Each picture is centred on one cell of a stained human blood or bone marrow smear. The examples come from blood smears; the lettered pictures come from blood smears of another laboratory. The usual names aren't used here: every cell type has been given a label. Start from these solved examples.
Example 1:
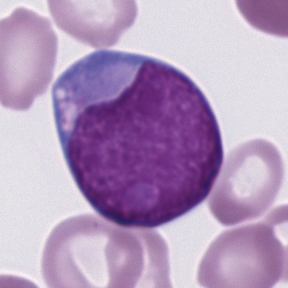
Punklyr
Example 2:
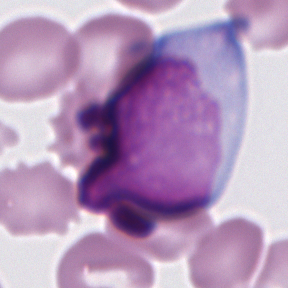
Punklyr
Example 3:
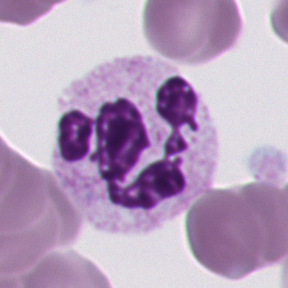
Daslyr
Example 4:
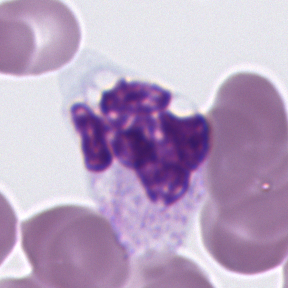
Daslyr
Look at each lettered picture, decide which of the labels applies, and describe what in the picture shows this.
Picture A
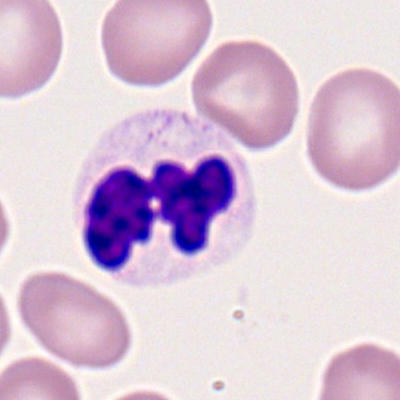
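Daslyr. Reason: The nucleus is split into two main lobes lying side by side, left and right.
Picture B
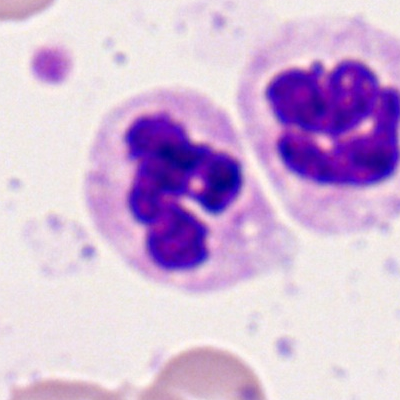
Daslyr. Reason: The cytoplasm is plentiful and pale pinkish-lilac.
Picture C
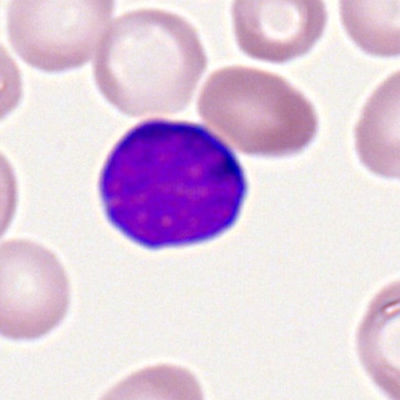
Punklyr. Reason: Cytoplasm shows at most as a very thin rim around the nucleus.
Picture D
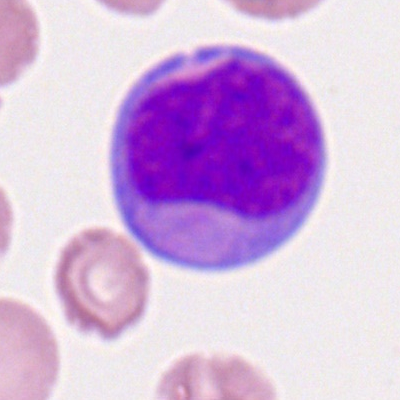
Punklyr. Reason: The nucleus fills most of the cell and lies toward its upper part.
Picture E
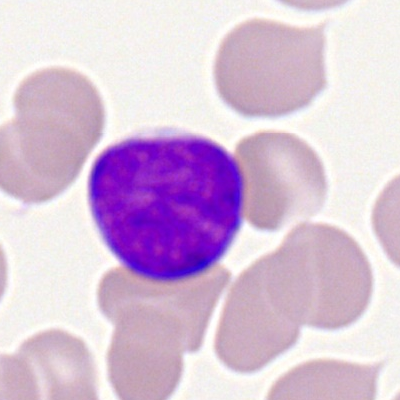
Punklyr. Reason: The nucleus is a single unlobed mass.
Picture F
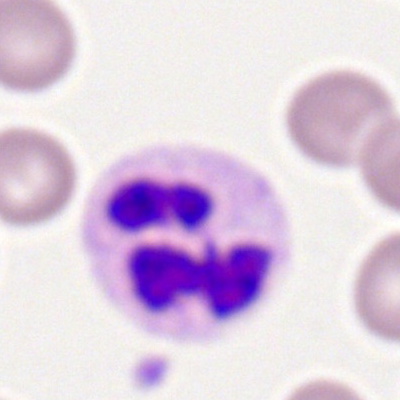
Daslyr. Reason: The cytoplasm is abundant and pale pinkish-lilac.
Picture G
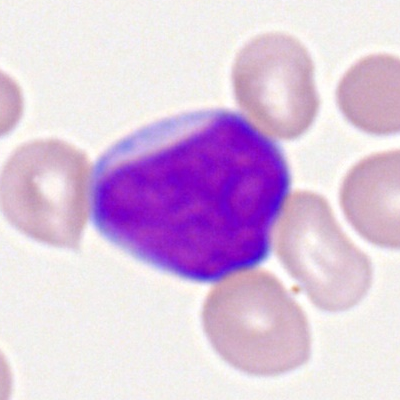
Punklyr. Reason: The cytoplasm is a scant rim of pale blue.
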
